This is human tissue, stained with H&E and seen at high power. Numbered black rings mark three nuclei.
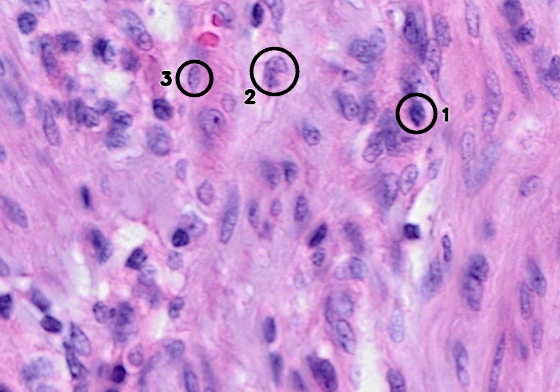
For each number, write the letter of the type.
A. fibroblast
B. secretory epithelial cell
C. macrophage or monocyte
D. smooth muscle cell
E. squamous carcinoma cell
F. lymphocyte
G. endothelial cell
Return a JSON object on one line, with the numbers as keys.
{"1": "F", "2": "C", "3": "G"}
